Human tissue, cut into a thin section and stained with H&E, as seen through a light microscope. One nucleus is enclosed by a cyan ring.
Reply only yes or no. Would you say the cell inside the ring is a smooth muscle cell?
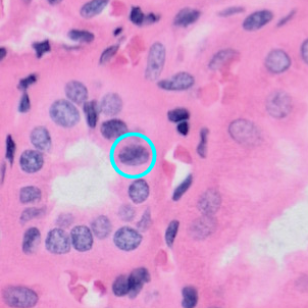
no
